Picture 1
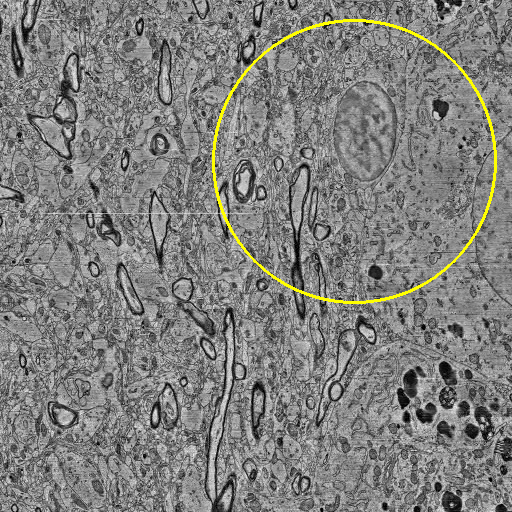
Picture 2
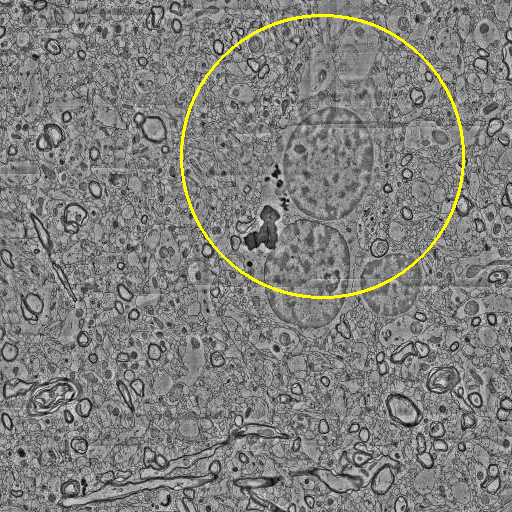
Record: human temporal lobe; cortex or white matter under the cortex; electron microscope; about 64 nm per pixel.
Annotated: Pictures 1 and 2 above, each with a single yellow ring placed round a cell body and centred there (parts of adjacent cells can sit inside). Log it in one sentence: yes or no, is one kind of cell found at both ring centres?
Yes, the ring centres of the two pictures hold cells of one kind.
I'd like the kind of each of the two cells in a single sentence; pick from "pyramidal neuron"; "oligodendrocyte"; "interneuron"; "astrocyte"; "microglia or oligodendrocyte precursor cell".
The second cell is an oligodendrocyte, just as the first is.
